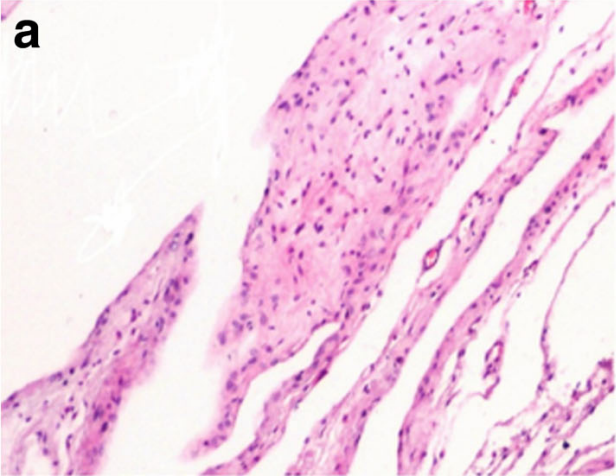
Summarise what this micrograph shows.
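Thin sheets of membrane with loose connective tissue stained pink, separated by clear spaces. Small dark nuclei, many elongated and spindle-shaped, are scattered through the pale eosinophilic matrix, with a small blood vessel in one band.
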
